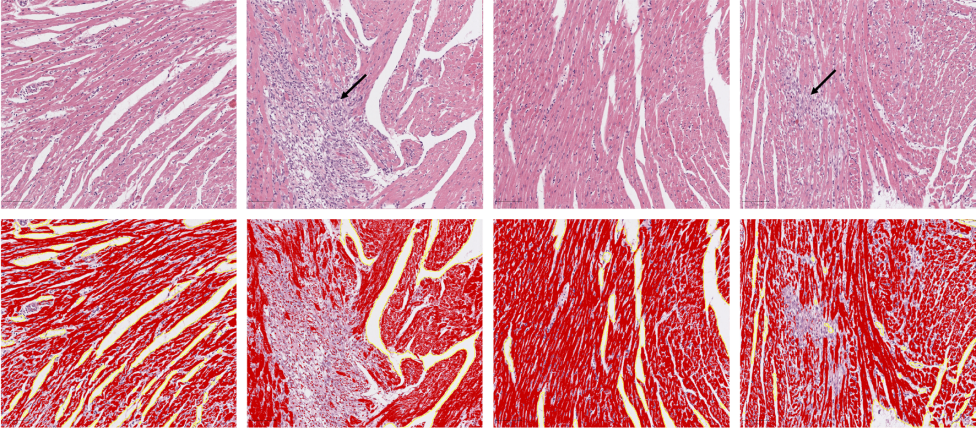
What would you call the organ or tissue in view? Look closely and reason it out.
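Myocardium. Long pink muscle fibers run in parallel bundles. Oval nuclei lie along the fibers. Pale clefts separate bundles of fibers.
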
